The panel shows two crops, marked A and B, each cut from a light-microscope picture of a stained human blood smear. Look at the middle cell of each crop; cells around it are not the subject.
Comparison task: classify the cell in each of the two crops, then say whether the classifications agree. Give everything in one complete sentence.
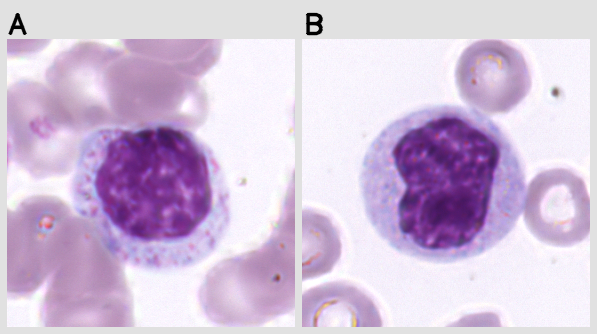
No, crop A carries a myelocyte and crop B carries a metamyelocyte.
